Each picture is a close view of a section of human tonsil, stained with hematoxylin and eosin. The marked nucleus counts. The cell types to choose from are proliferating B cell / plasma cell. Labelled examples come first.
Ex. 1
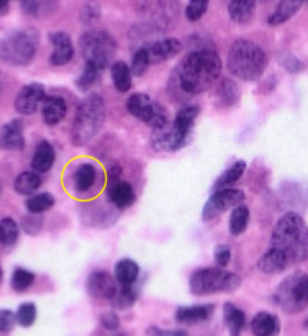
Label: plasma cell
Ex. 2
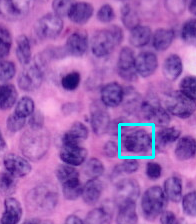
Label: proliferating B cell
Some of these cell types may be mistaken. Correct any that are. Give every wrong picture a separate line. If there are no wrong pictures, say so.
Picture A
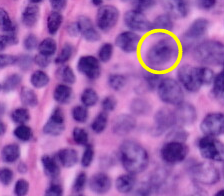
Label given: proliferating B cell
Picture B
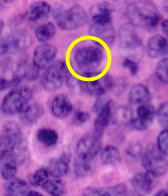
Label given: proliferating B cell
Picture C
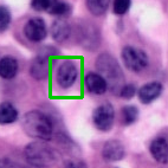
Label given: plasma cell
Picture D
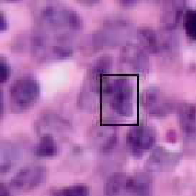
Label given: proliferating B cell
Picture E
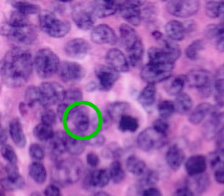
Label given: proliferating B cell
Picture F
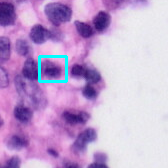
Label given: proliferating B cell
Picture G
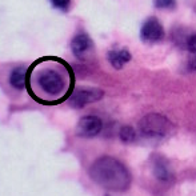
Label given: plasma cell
Nothing to fix; every label fits.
